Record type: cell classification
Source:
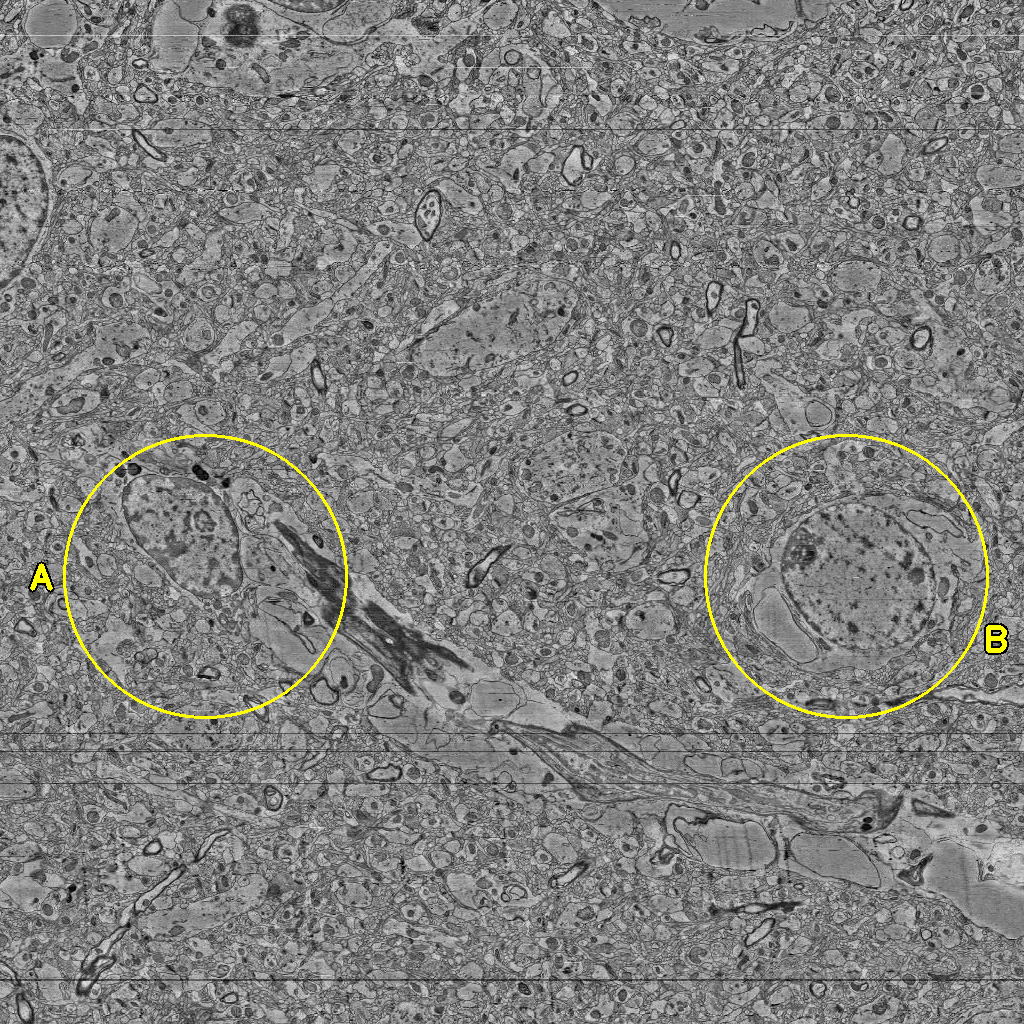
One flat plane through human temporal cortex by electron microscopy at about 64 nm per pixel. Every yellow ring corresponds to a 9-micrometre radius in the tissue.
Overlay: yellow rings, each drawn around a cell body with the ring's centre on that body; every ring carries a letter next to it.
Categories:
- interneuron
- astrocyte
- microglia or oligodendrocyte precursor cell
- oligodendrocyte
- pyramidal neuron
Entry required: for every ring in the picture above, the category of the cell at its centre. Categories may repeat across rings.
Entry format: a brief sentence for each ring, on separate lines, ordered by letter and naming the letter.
At the centre of ring A lies a microglial cell or oligodendrocyte precursor cell.
At the centre of ring B lies an astrocyte.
